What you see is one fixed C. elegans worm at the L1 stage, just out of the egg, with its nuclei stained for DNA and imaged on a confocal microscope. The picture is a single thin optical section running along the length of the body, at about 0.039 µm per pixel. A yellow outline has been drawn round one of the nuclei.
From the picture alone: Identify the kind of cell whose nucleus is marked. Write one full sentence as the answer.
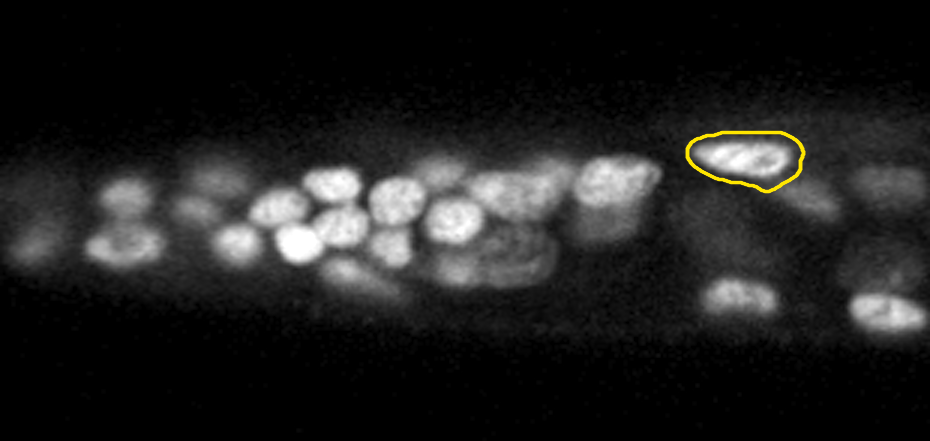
The marked nucleus is that of a body wall muscle cell.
